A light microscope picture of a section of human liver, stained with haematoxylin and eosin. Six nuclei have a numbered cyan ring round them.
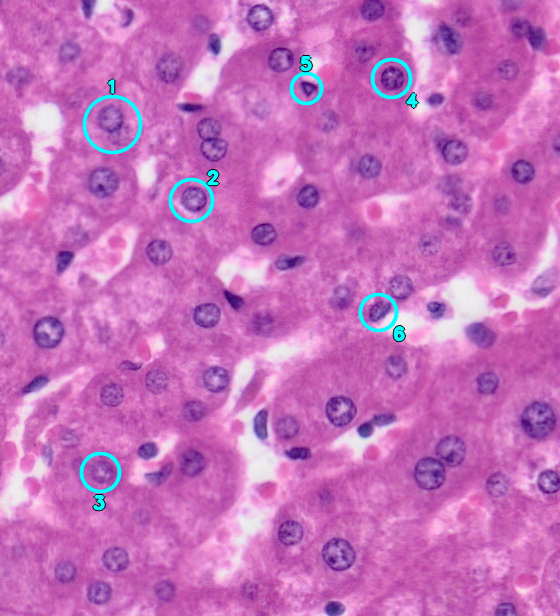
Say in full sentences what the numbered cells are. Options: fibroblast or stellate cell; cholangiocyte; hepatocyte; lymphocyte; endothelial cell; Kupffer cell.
Cell 1 is a hepatocyte, cell 2 is a hepatocyte, cell 3 is a hepatocyte, cell 4 is a hepatocyte, cell 5 is a fibroblast or stellate cell and cell 6 is a fibroblast or stellate cell.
